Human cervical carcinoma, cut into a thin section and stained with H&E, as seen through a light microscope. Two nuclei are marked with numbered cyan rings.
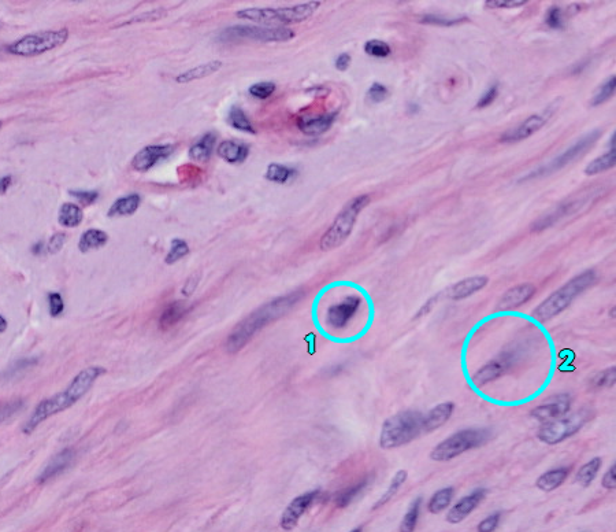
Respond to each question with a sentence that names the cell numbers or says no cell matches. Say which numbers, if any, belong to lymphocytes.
The only cell among those numbered to be a lymphocyte is number 1.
